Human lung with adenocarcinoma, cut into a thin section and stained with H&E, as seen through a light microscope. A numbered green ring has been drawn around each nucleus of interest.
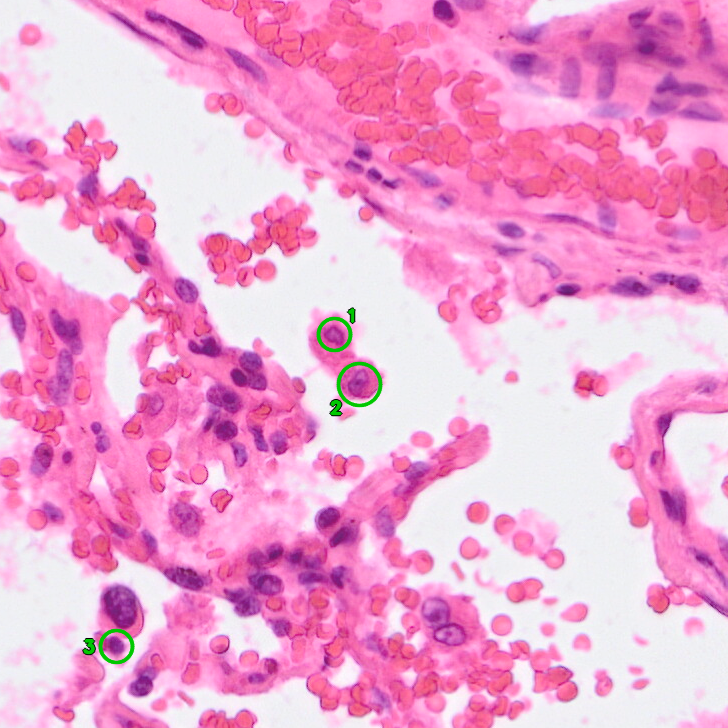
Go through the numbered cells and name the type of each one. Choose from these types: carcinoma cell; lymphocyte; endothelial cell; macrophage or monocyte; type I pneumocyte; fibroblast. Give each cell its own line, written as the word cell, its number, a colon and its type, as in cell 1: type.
cell 1: macrophage or monocyte
cell 2: macrophage or monocyte
cell 3: lymphocyte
